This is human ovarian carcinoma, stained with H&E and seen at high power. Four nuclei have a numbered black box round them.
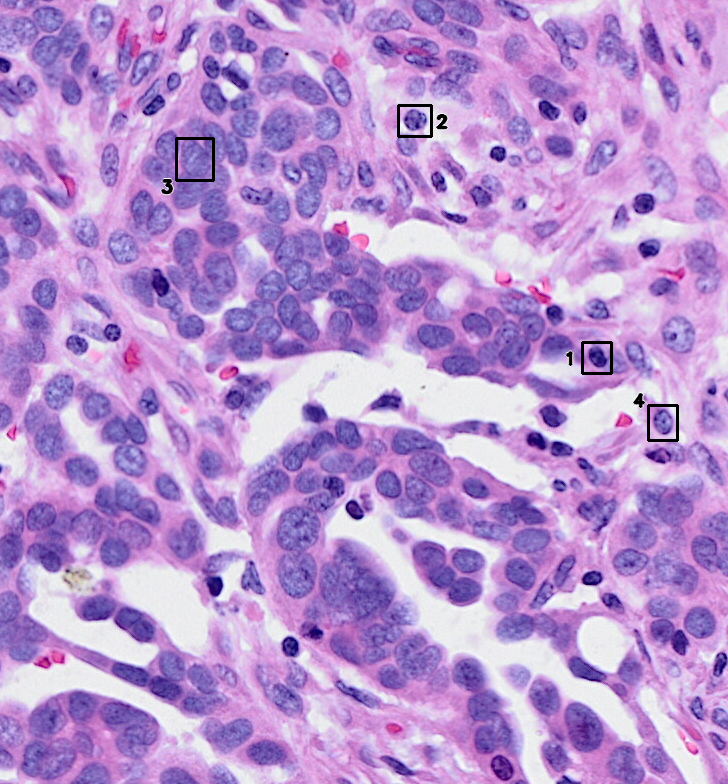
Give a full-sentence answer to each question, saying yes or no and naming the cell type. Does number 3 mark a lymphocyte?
No, cell 3 is not to be taken for a lymphocyte; it is a carcinoma cell.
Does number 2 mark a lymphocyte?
Yes, the cell carrying label 2 is a lymphocyte.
